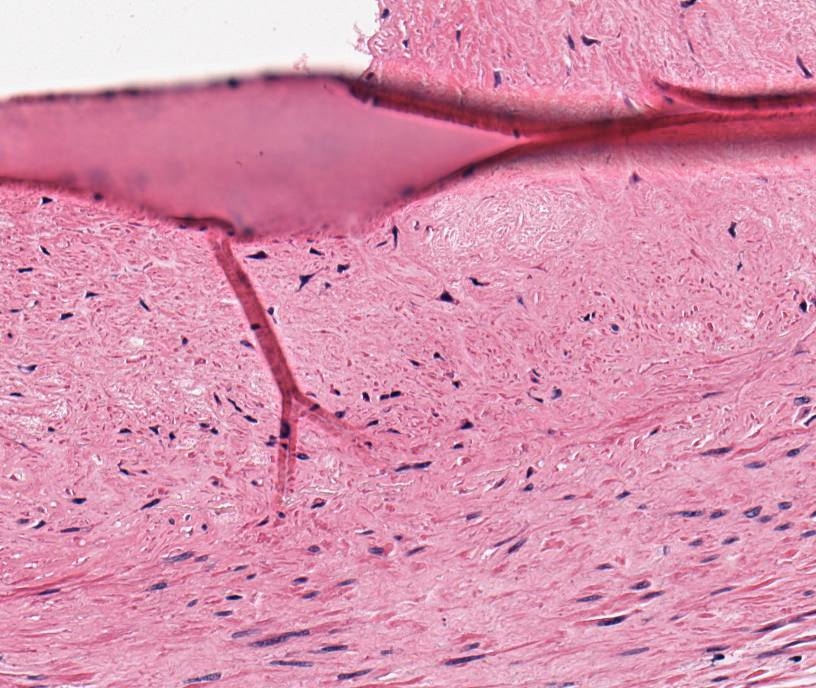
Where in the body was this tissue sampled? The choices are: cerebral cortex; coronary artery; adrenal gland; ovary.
coronary artery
